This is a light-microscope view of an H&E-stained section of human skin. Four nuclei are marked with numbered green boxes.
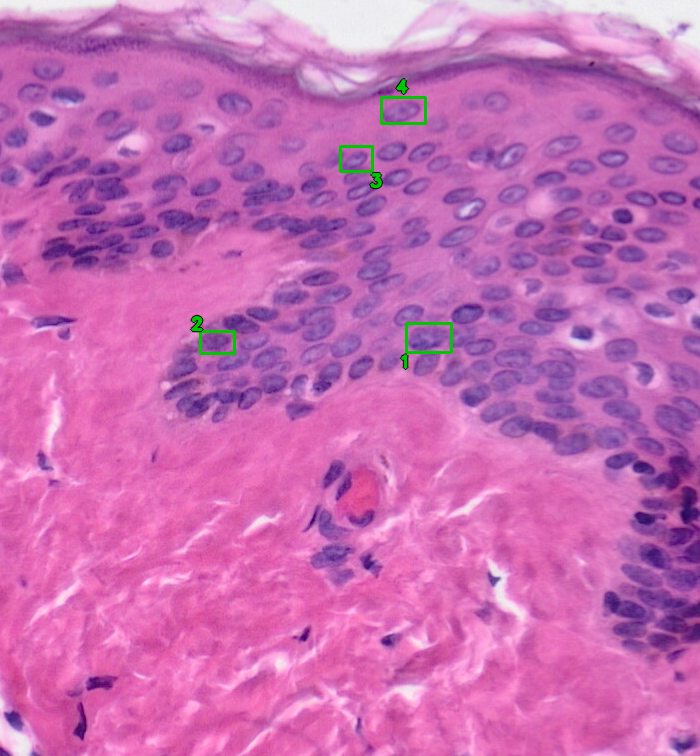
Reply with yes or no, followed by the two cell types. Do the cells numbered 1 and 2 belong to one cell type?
Yes, cells 1 and 2 are both identified as basal keratinocytes.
